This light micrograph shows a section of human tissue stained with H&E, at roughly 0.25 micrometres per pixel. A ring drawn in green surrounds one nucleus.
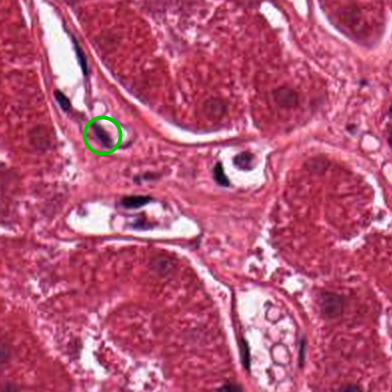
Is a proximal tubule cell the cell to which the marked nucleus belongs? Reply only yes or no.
no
